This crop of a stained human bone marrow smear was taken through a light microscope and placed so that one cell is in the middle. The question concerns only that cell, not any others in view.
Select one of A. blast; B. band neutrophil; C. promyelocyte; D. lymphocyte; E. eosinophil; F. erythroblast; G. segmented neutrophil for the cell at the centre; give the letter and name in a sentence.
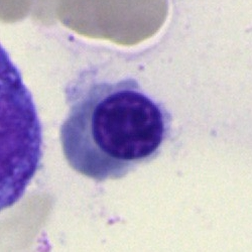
Option F is the correct selection, for the cell at the centre is an erythroblast.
